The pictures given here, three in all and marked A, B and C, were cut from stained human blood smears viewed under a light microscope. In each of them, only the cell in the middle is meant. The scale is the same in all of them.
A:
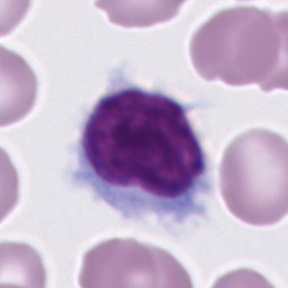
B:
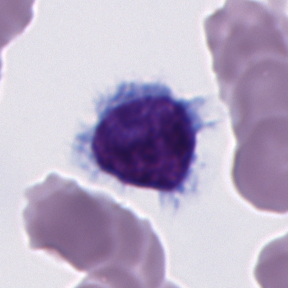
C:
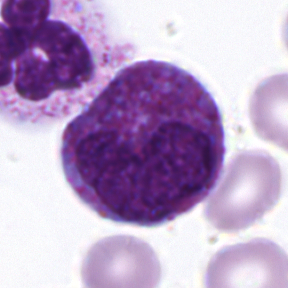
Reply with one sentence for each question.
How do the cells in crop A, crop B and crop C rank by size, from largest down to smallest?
The order is C, A, B, beginning with the largest.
